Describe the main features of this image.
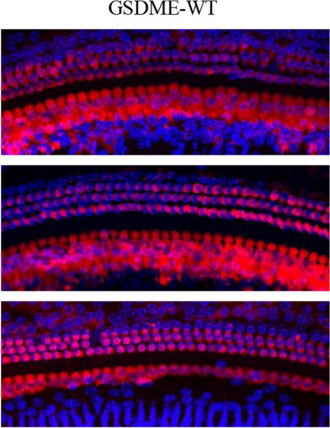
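Three strips of the cochlear sensory epithelium seen from the surface show hair cells filled with red among blue nuclei. In each strip the red cells are arranged in regular parallel rows: one row of inner hair cells and, separated by a dark gap, three rows of outer hair cells. The outer hair cells are small, round and evenly spaced, forming a tidy mosaic. The inner row appears as a denser, brighter red band.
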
